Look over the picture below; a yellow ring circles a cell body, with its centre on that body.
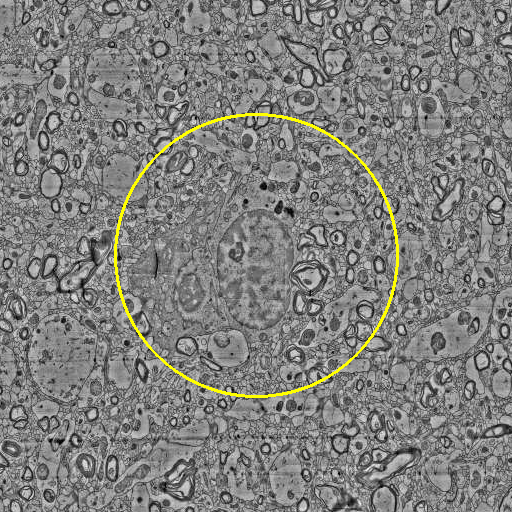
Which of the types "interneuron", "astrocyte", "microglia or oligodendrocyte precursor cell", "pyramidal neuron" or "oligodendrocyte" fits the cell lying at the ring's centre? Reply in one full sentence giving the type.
The picture shows an oligodendrocyte at the centre of the yellow ring.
